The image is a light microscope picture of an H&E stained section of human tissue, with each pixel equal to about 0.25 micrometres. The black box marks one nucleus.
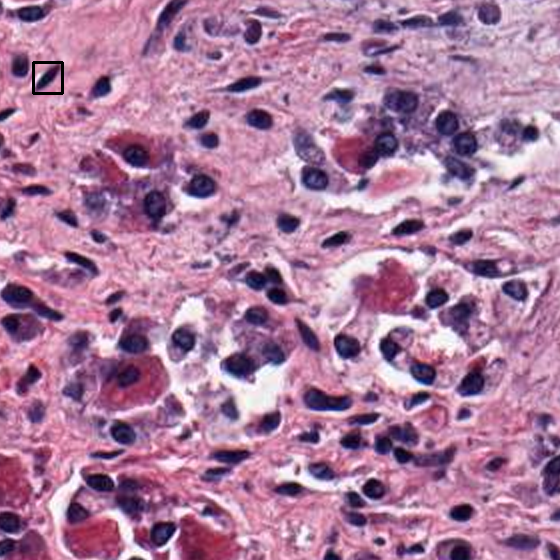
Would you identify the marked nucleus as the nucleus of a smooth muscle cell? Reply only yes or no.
no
